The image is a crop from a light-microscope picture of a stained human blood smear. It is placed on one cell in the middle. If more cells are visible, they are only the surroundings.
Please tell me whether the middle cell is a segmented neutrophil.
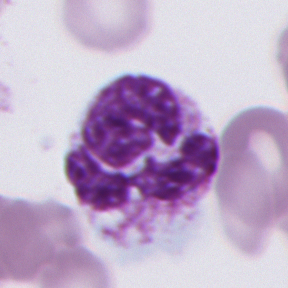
yes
